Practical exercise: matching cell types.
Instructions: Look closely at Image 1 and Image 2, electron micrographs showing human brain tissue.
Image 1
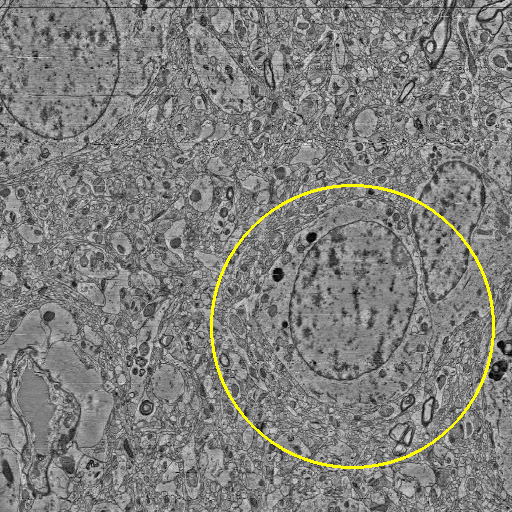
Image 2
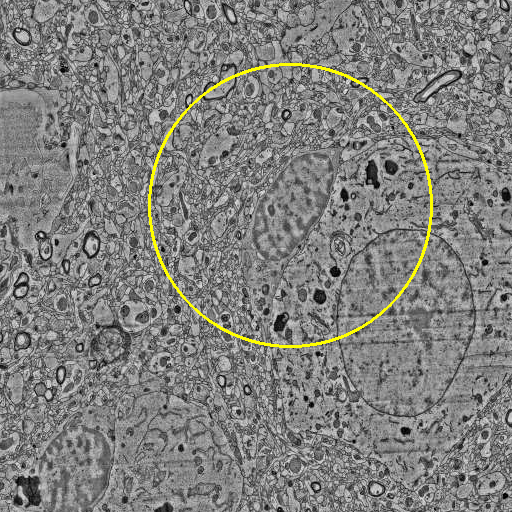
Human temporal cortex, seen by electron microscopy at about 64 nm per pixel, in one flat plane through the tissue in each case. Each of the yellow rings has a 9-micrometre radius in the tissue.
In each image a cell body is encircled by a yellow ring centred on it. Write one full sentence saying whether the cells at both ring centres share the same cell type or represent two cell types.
Across Image 1 and Image 2, the cells at the ring centres represent two cell types.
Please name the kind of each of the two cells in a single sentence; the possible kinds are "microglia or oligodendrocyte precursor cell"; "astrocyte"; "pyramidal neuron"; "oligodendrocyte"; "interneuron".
In the first picture the ring is centred on a pyramidal neuron, and in the second on an oligodendrocyte.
